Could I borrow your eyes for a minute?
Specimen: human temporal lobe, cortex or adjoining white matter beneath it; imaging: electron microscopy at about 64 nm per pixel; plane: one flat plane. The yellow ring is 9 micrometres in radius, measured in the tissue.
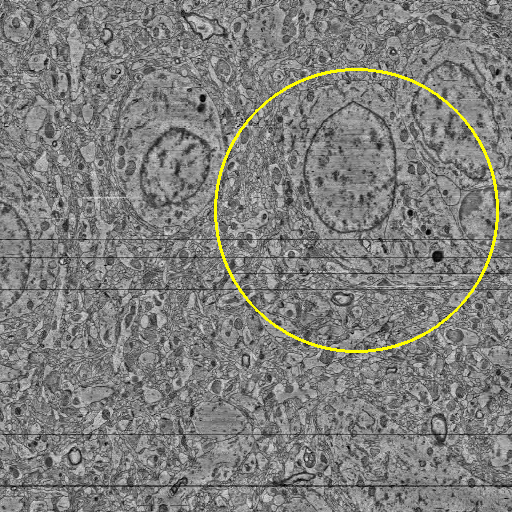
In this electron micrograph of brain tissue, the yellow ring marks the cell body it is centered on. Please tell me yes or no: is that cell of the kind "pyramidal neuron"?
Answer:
yes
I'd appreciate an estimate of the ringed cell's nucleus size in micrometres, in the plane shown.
In this plane, the nucleus is roughly 9 by 6 micrometres.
